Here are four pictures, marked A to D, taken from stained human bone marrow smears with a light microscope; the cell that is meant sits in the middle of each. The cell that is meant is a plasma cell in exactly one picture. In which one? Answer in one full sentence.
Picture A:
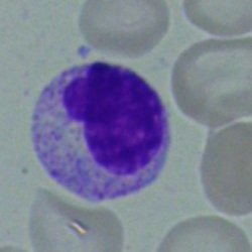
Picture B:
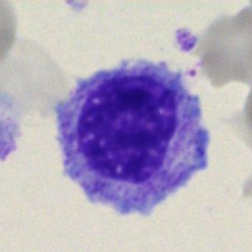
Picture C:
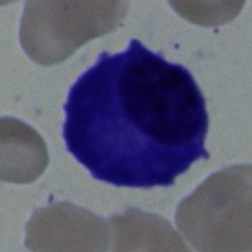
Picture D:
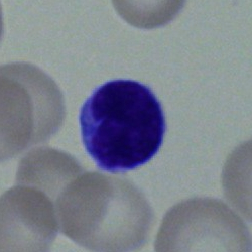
Picture C shows the plasma cell.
